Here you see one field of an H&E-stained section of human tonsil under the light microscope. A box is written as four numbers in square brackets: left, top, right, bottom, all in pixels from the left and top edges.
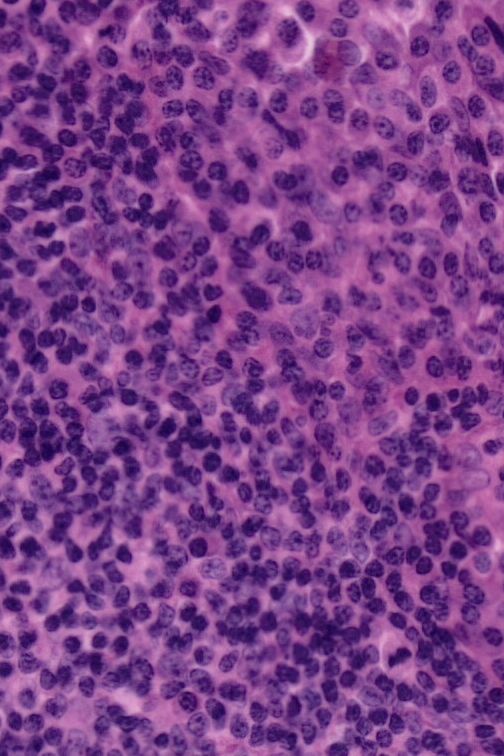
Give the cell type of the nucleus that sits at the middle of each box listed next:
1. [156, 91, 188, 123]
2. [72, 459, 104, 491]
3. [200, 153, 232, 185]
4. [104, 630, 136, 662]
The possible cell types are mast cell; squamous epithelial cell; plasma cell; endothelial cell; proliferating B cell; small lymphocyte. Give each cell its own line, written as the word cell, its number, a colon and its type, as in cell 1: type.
cell 1: plasma cell
cell 2: small lymphocyte
cell 3: plasma cell
cell 4: small lymphocyte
